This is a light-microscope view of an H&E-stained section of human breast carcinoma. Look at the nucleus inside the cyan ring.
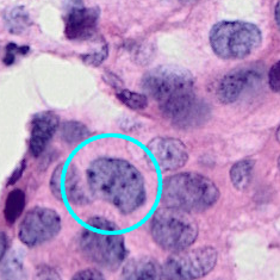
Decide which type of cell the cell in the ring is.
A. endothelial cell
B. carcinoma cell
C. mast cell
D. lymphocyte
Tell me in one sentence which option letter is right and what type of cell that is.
Option B wins here: the cell in the ring is a carcinoma cell.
